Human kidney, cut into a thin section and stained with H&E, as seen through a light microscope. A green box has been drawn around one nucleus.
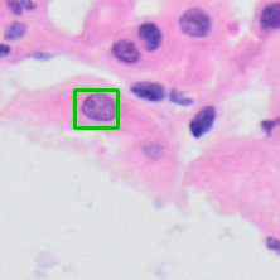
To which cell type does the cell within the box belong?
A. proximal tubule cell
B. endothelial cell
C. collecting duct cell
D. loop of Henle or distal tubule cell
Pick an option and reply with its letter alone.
A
